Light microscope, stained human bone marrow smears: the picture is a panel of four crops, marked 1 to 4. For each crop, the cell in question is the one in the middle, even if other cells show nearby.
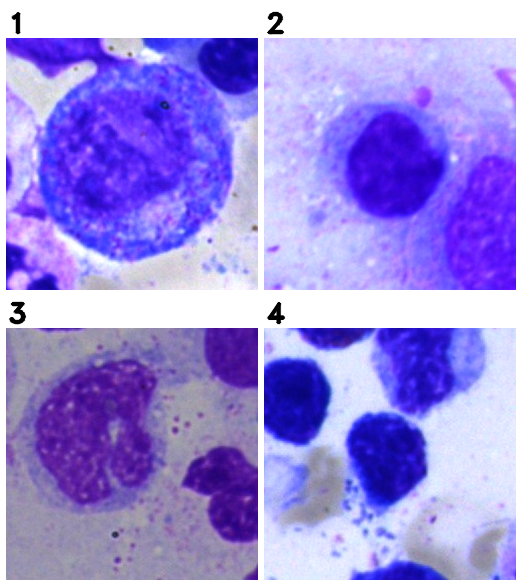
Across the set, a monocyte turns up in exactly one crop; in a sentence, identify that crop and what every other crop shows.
Crop 3 shows a monocyte, while crop 1 is a promyelocyte, crop 2 is a plasma cell and crop 4 is a lymphocyte.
